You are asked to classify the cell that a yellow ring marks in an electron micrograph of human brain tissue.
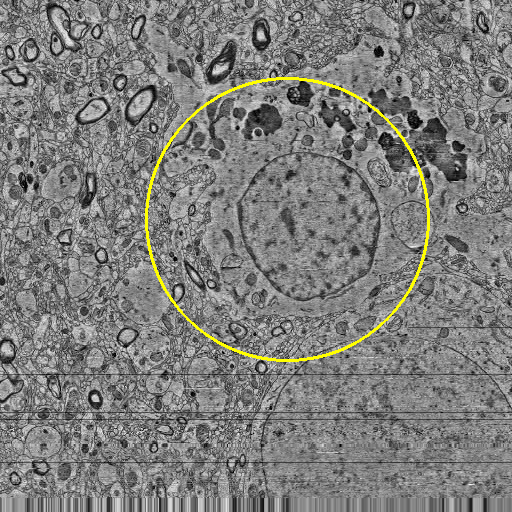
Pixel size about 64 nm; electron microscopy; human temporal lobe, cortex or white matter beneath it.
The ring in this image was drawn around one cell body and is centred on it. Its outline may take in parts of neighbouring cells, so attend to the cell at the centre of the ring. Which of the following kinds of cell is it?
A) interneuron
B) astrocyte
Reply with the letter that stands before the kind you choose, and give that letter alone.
B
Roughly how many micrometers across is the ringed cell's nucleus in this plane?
Approximately 9 micrometres across, in this plane.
